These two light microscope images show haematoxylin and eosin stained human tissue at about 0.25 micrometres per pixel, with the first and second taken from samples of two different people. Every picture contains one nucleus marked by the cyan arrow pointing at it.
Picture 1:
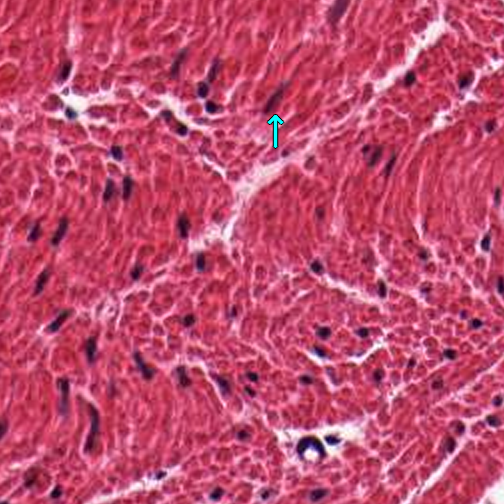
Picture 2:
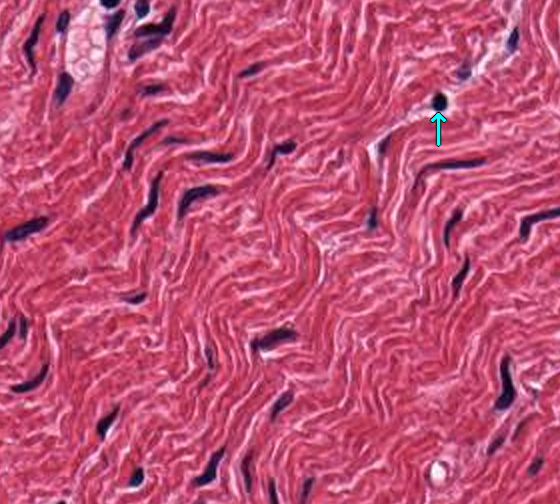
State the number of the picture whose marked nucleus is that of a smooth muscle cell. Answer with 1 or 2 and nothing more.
1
